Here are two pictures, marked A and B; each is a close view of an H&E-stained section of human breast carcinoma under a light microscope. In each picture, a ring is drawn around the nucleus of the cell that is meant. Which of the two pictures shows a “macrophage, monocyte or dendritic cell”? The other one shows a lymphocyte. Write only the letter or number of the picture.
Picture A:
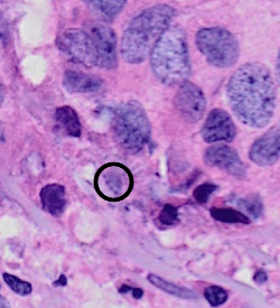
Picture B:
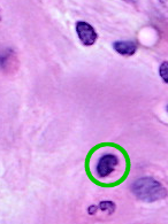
A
